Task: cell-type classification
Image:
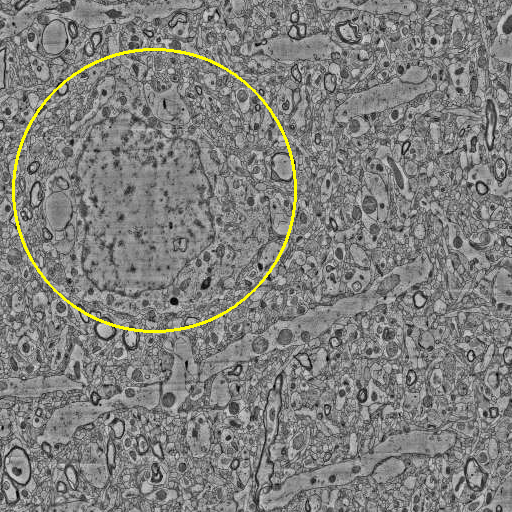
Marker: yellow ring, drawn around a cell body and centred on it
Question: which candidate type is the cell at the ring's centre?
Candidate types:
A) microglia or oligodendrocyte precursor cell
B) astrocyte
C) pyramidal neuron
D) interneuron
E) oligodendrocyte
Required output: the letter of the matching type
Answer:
D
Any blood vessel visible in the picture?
No.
